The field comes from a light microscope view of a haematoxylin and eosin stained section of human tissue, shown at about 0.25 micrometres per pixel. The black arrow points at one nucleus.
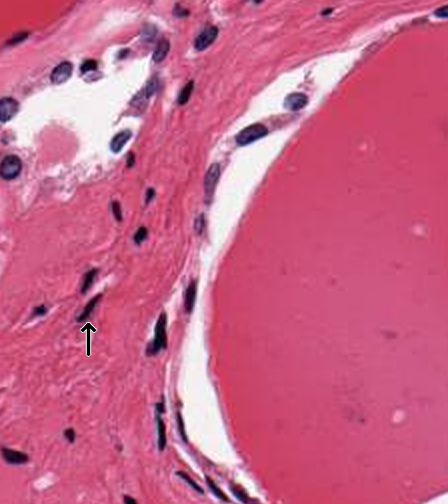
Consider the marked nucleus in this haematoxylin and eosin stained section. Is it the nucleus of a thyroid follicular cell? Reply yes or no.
no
